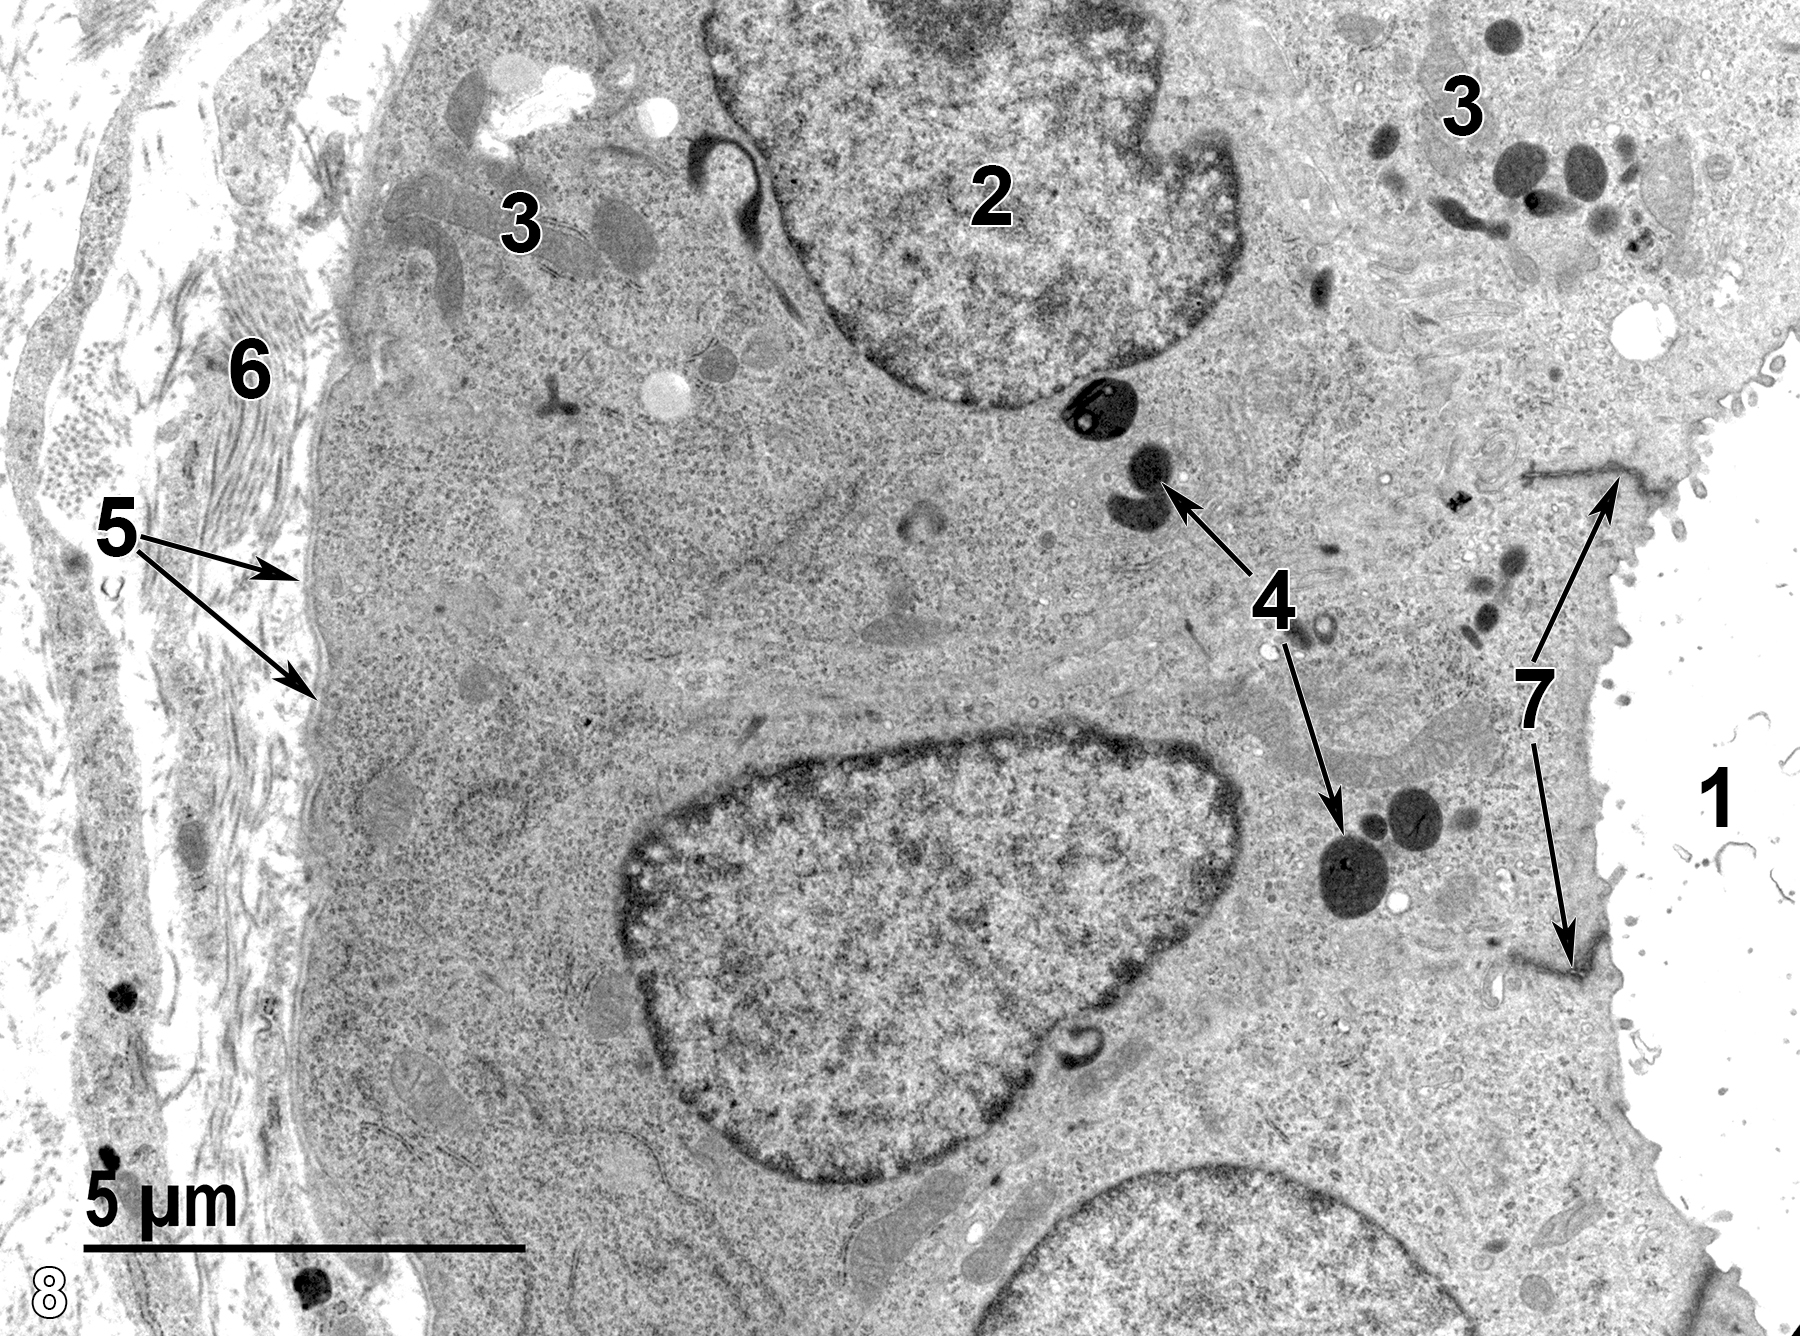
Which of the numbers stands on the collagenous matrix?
Number 6.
